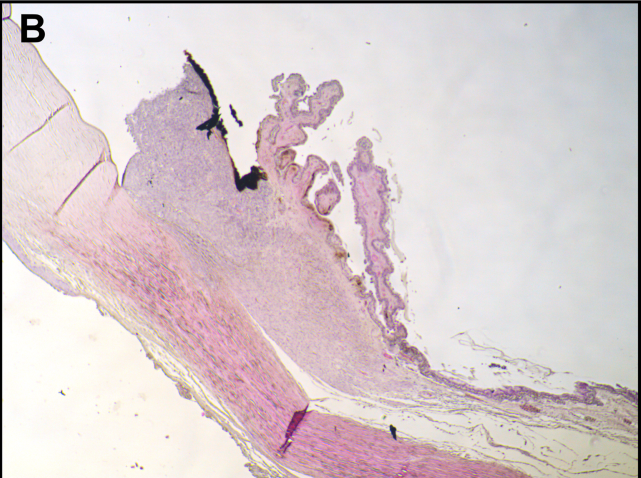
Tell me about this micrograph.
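Section of the ciliary body at the iridociliary junction, in which a solid, densely cellular purple mass of tumor lies on the inner side of a band of pink, parallel-fibred tissue. Slender folded processes lined by a thin pigmented layer project from the edge of the mass, and a black pigmented layer bounds part of its surface.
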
